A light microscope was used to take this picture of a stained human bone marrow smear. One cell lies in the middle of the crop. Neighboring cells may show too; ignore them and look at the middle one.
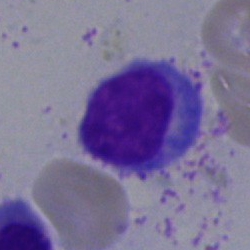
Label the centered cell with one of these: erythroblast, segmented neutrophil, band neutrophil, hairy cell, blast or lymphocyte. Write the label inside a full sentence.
The cell at the central position in this crop is a lymphocyte.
